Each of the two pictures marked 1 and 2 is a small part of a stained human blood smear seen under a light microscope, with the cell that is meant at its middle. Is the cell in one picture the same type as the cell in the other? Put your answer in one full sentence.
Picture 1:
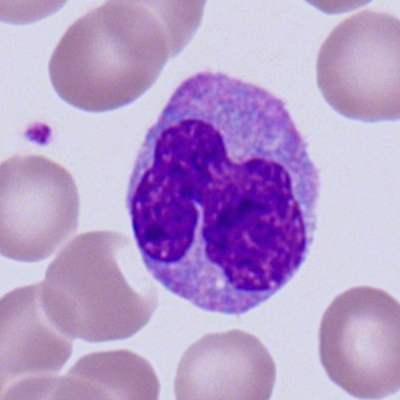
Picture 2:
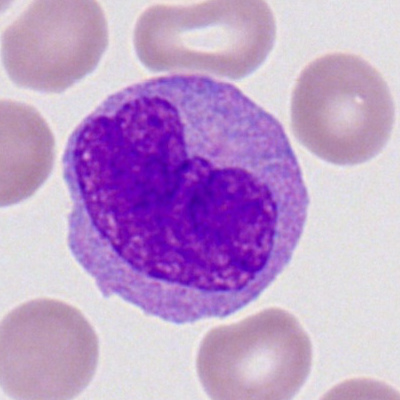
Yes, the two pictures both show monocytes.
